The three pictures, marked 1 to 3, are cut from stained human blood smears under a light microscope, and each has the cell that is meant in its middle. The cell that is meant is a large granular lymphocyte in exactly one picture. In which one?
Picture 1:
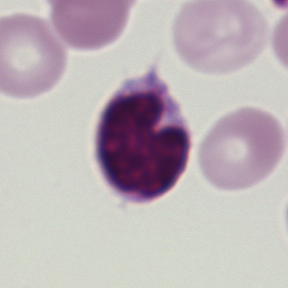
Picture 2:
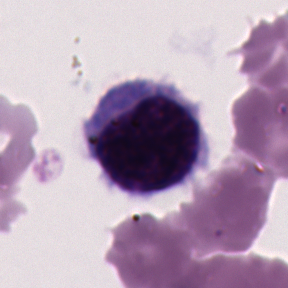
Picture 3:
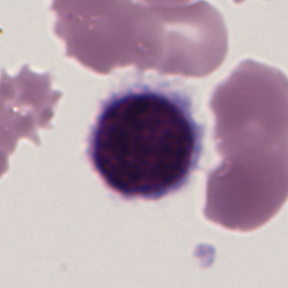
1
